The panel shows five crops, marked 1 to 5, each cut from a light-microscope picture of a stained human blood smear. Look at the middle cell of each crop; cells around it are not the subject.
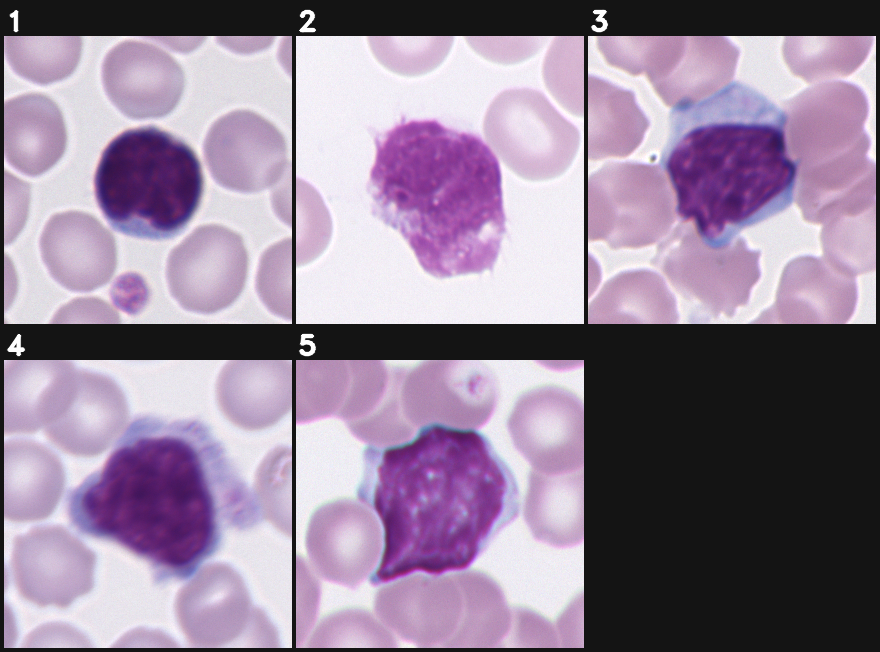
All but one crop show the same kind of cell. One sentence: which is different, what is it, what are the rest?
As the exception to the typical lymphocytes in the other crops, crop 2 shows a smudge cell.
